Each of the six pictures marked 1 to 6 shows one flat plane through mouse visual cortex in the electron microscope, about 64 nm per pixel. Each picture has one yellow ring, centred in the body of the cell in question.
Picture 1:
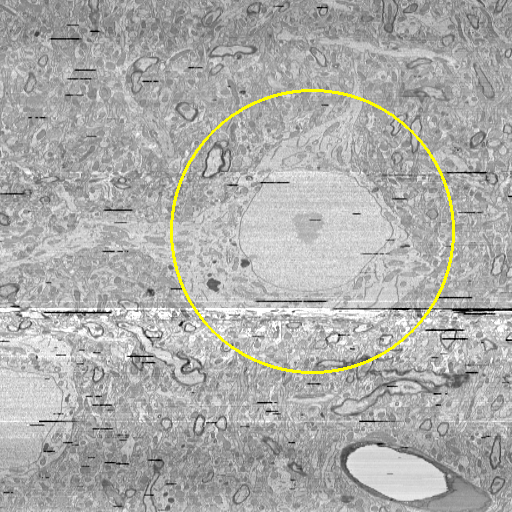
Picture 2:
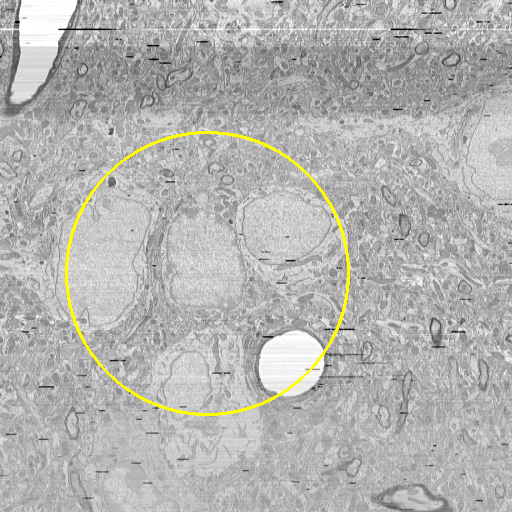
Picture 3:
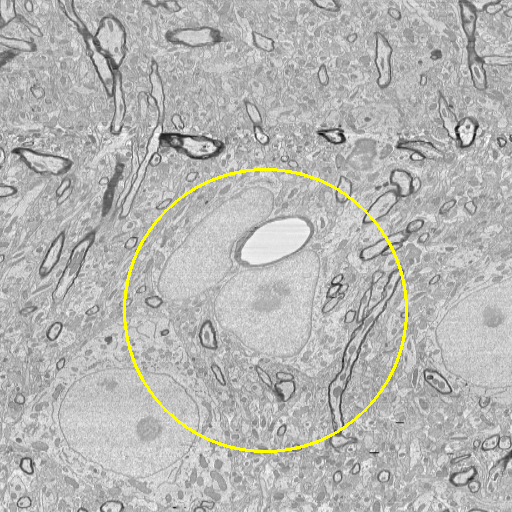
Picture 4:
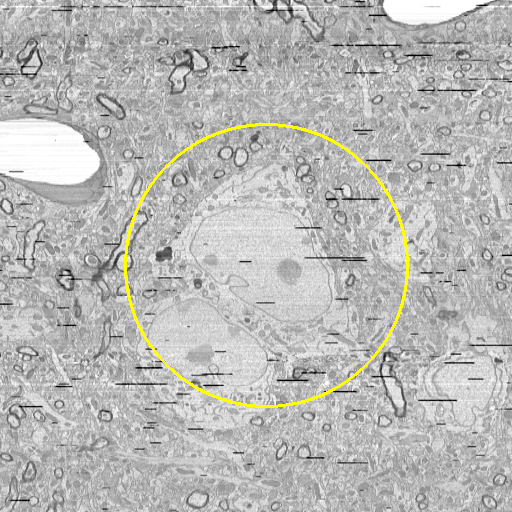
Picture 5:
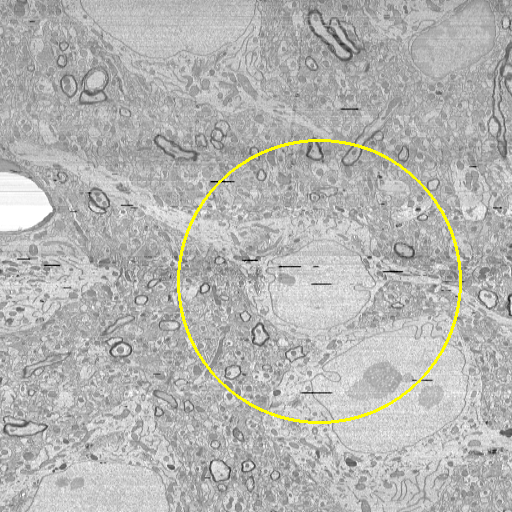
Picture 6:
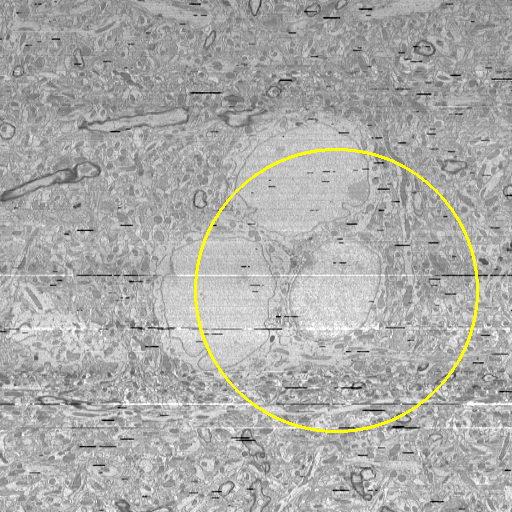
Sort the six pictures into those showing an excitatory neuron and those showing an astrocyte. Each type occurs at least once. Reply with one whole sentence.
Pictures 1, 4 and 5 show excitatory neurons, and pictures 2, 3 and 6 show astrocytes.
